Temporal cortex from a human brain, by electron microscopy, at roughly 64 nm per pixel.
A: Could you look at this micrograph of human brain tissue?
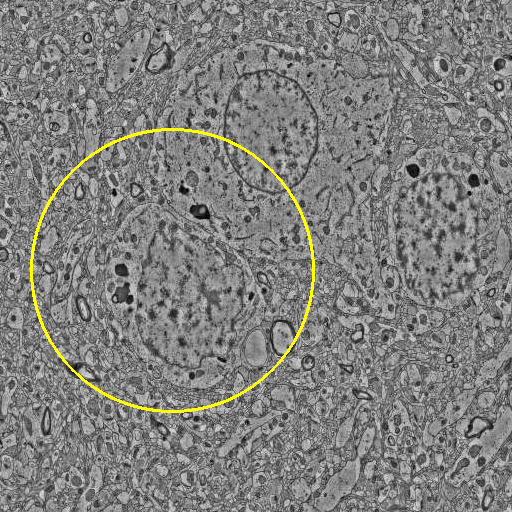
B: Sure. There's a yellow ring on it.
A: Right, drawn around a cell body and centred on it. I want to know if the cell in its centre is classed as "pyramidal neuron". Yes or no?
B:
no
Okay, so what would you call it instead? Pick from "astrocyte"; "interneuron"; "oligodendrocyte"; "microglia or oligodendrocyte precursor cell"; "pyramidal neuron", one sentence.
The cell at the middle of the ring is an interneuron.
